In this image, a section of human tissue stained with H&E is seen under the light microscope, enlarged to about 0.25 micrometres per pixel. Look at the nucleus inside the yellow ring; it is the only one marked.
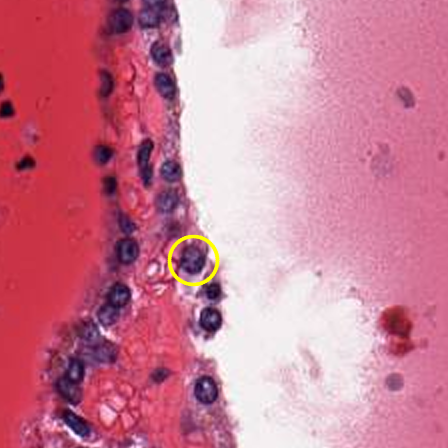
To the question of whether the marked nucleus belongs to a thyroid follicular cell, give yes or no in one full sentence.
Yes, it is a thyroid follicular cell to which the marked nucleus belongs.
